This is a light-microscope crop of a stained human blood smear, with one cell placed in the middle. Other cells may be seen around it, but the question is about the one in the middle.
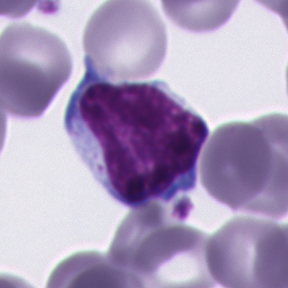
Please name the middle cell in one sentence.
The middle cell in this particular crop is a typical lymphocyte.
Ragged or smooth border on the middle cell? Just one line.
Irregular and not smooth, the cell boundary is ragged or drawn out into projections.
